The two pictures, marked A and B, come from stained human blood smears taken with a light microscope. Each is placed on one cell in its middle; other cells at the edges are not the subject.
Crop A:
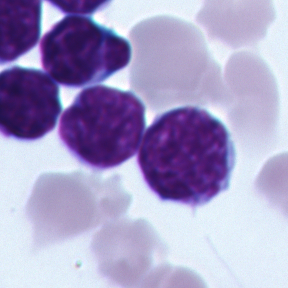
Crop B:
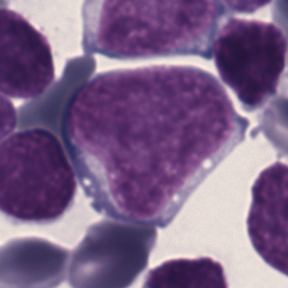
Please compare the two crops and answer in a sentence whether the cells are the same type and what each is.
Yes, myeloblasts are depicted in both crops.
